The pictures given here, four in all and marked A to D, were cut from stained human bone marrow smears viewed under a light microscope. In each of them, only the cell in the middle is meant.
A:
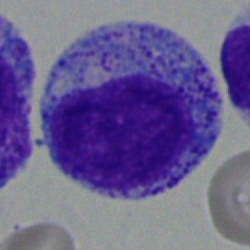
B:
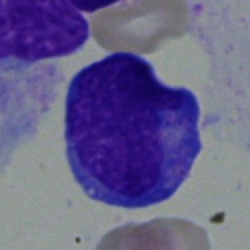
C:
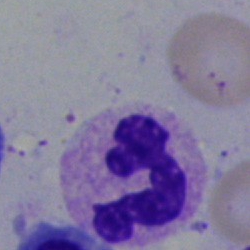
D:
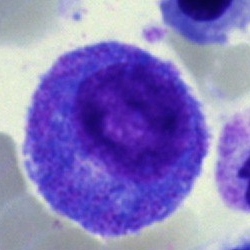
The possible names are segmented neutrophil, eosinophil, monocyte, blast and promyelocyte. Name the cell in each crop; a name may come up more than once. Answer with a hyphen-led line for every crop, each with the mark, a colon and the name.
- A: promyelocyte
- B: blast
- C: segmented neutrophil
- D: promyelocyte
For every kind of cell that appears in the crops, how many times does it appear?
promyelocyte: 2
blast: 1
segmented neutrophil: 1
